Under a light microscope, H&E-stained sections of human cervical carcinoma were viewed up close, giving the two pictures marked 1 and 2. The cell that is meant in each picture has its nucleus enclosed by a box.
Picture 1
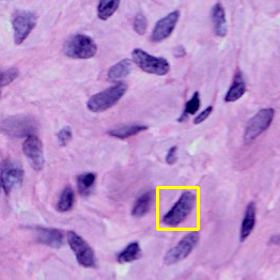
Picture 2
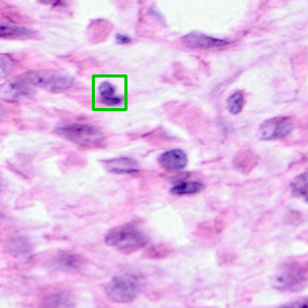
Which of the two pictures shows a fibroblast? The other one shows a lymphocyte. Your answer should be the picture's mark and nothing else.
1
